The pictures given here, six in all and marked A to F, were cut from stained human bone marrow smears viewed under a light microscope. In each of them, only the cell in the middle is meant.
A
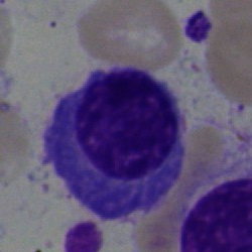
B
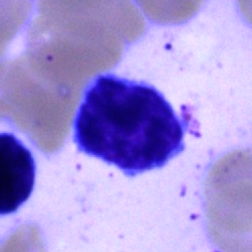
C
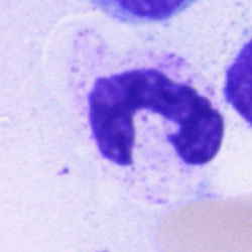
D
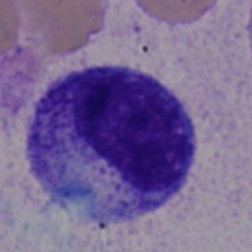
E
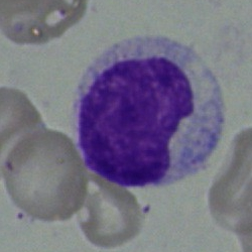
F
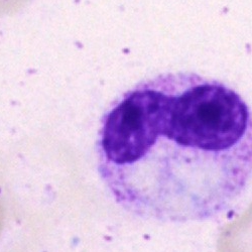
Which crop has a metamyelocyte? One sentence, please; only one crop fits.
Among the crops given, only crop E shows a metamyelocyte.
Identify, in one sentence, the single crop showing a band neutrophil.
Crop F, of the crops presented, is the one showing a band neutrophil.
